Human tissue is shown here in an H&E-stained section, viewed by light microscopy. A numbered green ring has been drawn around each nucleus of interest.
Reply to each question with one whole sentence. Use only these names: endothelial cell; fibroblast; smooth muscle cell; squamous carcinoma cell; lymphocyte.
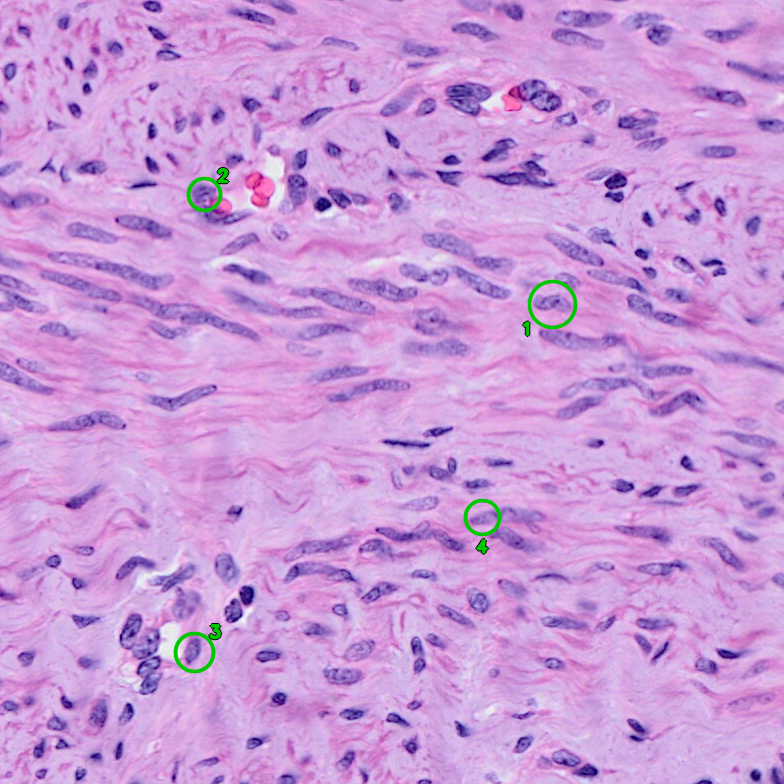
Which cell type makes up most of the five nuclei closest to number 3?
Most of the five nuclei nearest to number 3 are those of endothelial cells.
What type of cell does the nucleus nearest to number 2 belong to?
The nucleus nearest to number 2 is that of an endothelial cell.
